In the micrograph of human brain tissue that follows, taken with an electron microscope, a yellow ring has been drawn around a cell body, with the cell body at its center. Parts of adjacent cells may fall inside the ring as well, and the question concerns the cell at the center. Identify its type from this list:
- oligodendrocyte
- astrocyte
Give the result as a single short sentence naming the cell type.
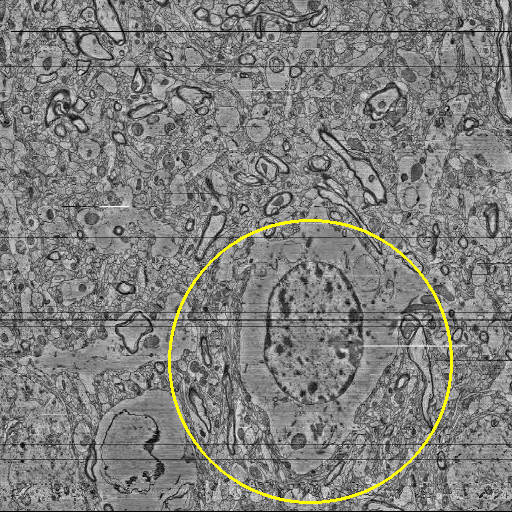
The ring is centered on an astrocyte.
